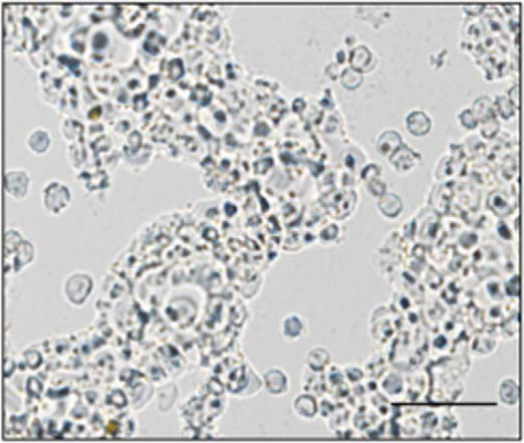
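Broad, irregular bands of granular, refractile material branch across the field. Many small, rounded cells are packed densely within and along these bands, so that the bands look crowded and bumpy. Between the bands the background is clear, and a few free round cells with smooth outlines lie separately in it. Without stain, the cells appear grey to bluish, and their contents are seen only as shifts in refractility. No tissue architecture is present; this is a loose suspension of cells and aggregated material.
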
